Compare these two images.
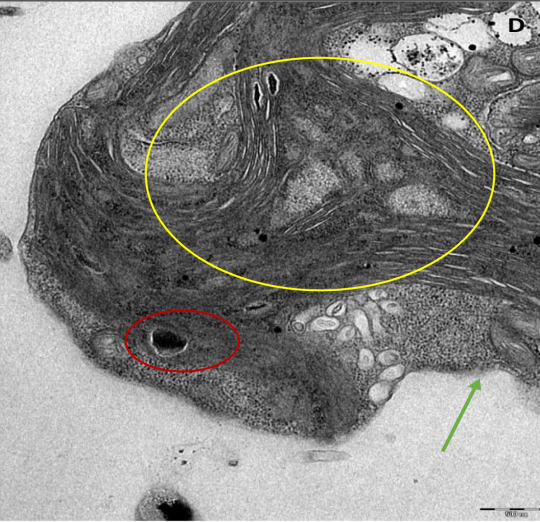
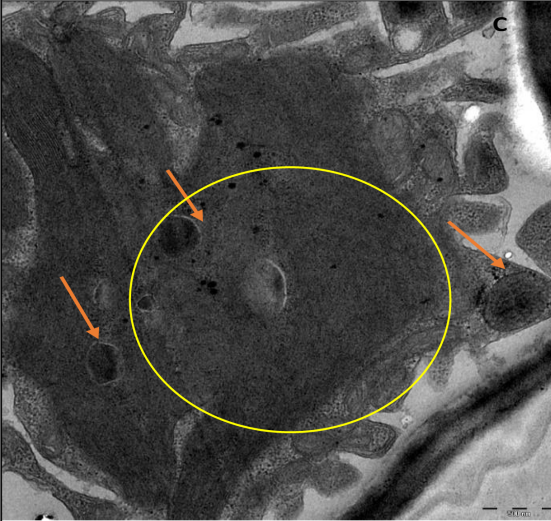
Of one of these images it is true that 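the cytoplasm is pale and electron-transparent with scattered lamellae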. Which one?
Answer: the first image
